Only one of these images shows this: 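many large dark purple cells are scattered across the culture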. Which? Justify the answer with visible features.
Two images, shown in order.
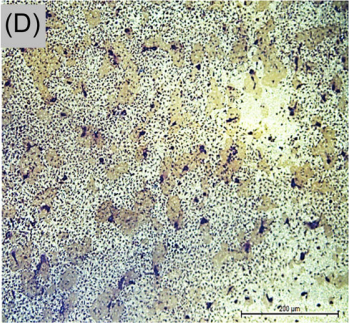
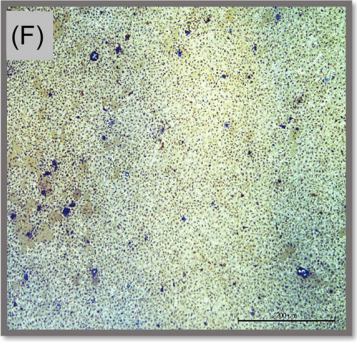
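The first image. Second image: only a few large dark purple cells among a dense field of small cells. First image: numerous large, irregular dark purple cells spread across the field.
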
